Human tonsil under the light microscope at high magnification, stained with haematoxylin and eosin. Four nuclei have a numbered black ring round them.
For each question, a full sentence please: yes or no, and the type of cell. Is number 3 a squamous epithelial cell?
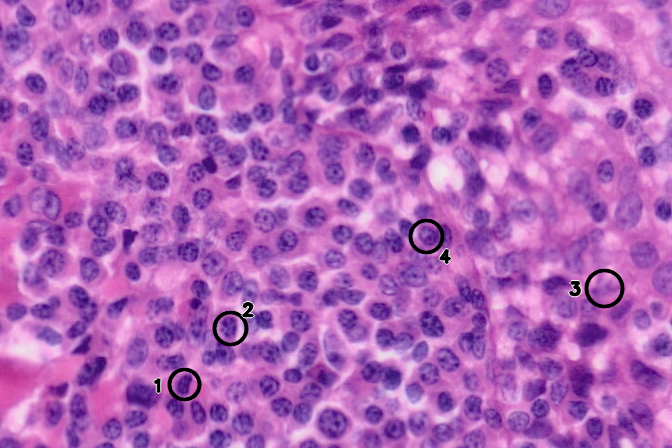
Yes, that one, number 3, is a squamous epithelial cell.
